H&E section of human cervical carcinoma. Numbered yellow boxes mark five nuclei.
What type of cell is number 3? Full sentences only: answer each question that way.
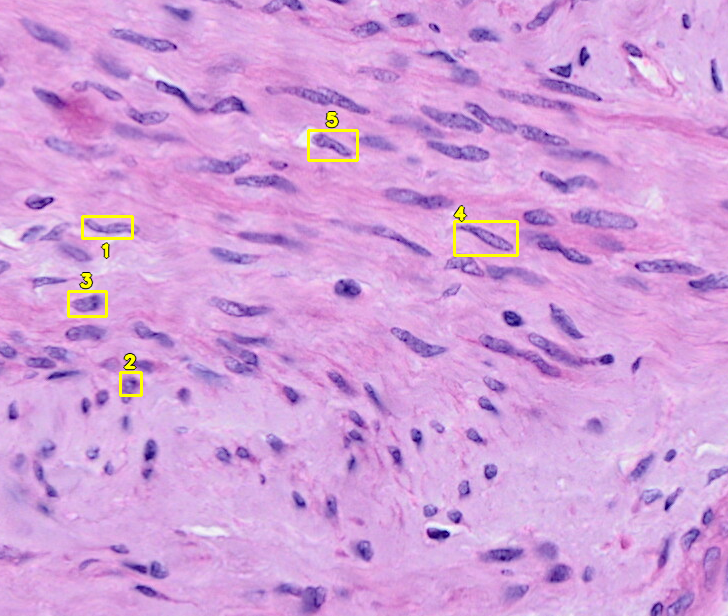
The numeral 3 marks a fibroblast in this section.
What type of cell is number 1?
Belonging to a fibroblast is the nucleus that carries the number 1.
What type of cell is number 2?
That cell with number 2 is a smooth muscle cell.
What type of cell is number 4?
Cell 4, among those numbered, is a smooth muscle cell.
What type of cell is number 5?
The expected answer is that cell 5 is a fibroblast.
